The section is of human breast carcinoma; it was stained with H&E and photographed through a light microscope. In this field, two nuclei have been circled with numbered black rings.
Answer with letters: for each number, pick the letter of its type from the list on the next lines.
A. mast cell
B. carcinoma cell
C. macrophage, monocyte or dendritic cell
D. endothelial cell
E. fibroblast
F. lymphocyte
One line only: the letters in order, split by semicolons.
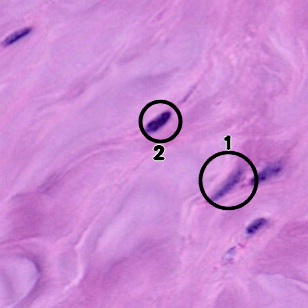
E; F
